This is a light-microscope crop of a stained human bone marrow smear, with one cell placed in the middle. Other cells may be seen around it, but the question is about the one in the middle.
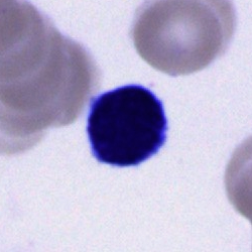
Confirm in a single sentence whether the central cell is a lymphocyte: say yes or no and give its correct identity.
Yes, the cell at the centre of this crop is identified as a lymphocyte.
